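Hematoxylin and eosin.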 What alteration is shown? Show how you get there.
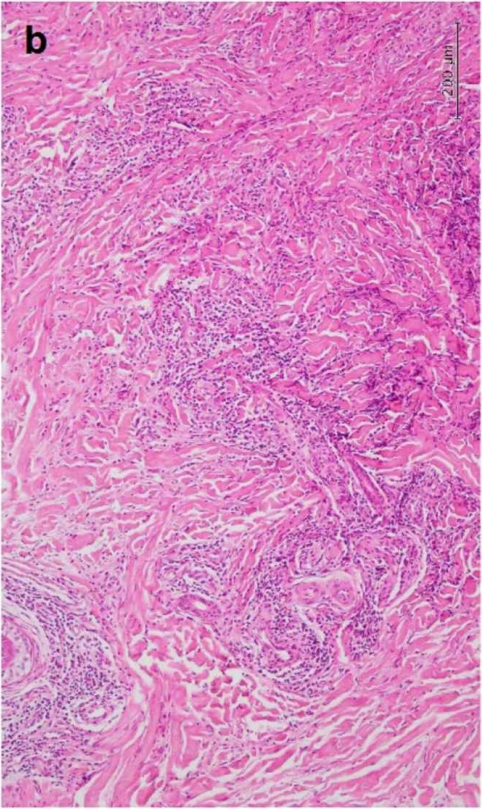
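Dense bands of small dark nuclei surround small vessels. The cell clusters lie among wavy pink collagen bundles.
Answer: dense perivascular infiltration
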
